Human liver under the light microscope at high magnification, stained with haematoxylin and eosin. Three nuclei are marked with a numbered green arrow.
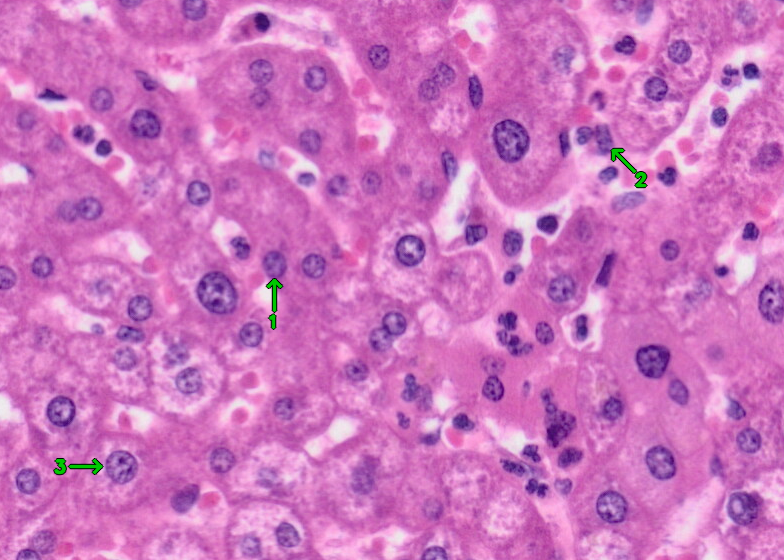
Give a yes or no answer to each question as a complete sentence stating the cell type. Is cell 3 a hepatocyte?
Yes, in this section the cell with number 3 is a hepatocyte.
